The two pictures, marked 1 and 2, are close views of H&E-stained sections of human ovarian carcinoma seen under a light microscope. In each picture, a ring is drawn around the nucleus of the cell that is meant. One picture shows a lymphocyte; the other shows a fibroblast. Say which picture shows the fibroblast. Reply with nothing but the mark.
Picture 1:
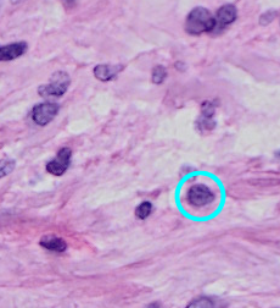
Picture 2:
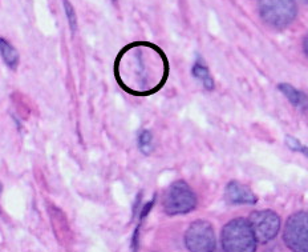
2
